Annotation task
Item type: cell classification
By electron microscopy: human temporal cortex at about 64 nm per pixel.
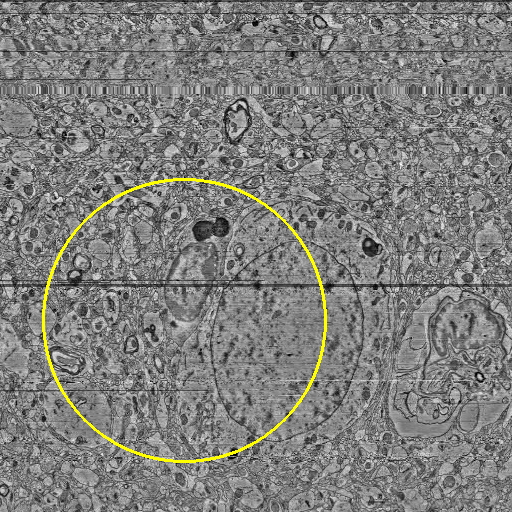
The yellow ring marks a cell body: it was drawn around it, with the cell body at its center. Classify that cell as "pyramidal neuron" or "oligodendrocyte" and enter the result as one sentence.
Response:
The ring's center falls on an oligodendrocyte.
